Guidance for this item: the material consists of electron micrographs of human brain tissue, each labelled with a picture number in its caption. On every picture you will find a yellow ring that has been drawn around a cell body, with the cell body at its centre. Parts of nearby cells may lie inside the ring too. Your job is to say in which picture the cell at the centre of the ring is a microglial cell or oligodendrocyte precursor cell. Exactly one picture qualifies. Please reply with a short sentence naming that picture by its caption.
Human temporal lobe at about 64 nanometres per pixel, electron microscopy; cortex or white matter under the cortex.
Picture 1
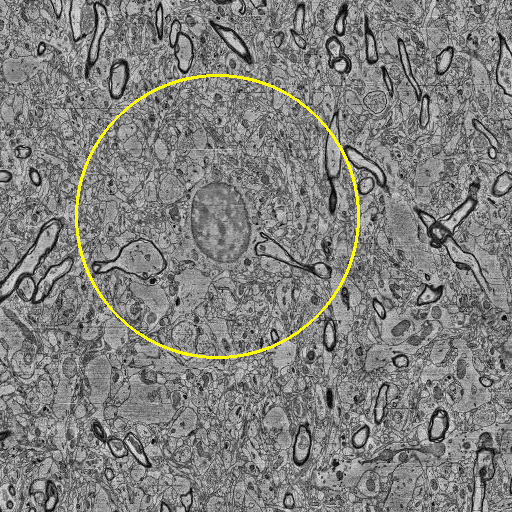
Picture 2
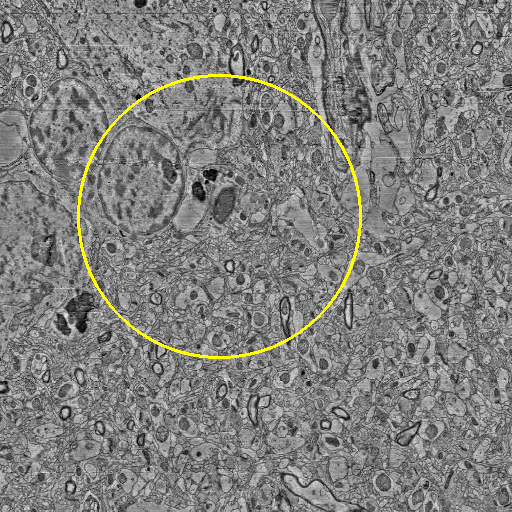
Picture 2 shows it at the centre of the ring.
